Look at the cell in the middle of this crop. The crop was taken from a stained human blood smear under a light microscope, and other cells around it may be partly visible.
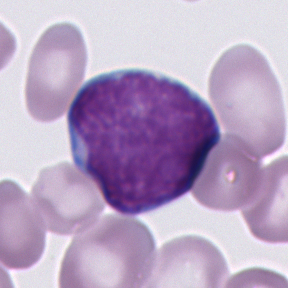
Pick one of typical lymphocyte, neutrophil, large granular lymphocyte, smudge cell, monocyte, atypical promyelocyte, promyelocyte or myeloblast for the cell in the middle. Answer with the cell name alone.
myeloblast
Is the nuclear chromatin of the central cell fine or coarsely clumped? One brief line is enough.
Answer: the chromatin is fine and has no coarse clumps.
